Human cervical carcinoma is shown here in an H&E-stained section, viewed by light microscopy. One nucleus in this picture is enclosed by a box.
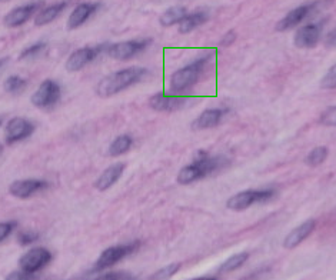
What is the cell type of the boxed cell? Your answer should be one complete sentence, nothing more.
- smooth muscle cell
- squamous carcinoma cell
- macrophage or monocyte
Assigned to a cell type, the boxed cell is a smooth muscle cell.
